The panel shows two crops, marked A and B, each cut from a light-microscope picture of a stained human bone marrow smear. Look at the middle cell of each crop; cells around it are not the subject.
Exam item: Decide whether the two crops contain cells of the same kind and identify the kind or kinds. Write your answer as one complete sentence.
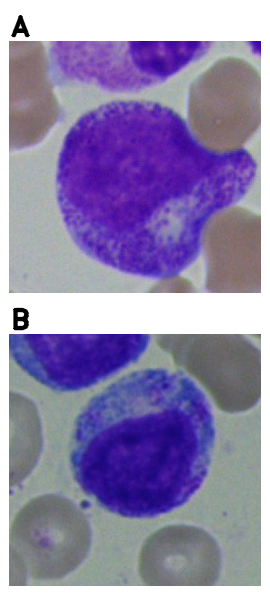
Yes, both crops have myelocytes as their central cells.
